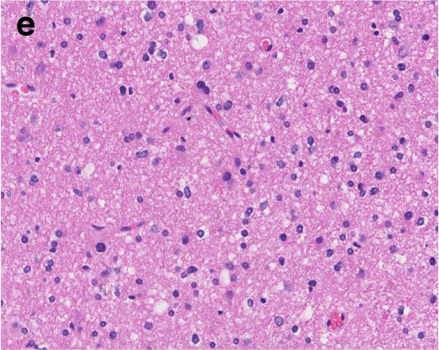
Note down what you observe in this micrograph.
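This is a diffusely infiltrating glial tumour. Moderately increased numbers of cells with round to oval, dark-staining nuclei lie scattered singly through a pale pink, finely fibrillary background. Small clear vacuoles give the background a loose, somewhat microcystic look, and a few small vessels hold red blood cells.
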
